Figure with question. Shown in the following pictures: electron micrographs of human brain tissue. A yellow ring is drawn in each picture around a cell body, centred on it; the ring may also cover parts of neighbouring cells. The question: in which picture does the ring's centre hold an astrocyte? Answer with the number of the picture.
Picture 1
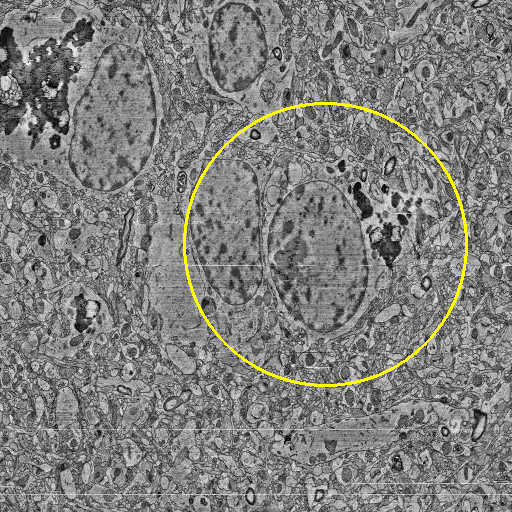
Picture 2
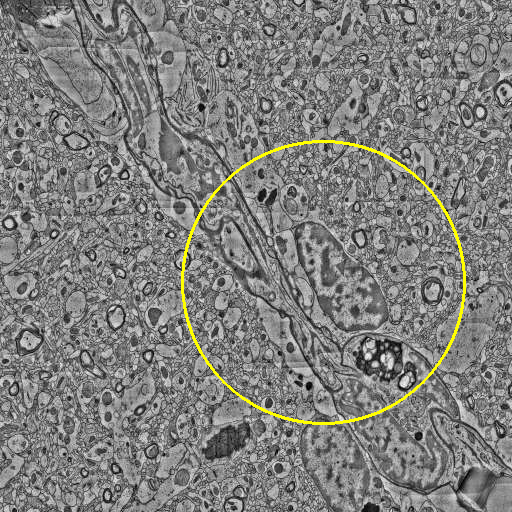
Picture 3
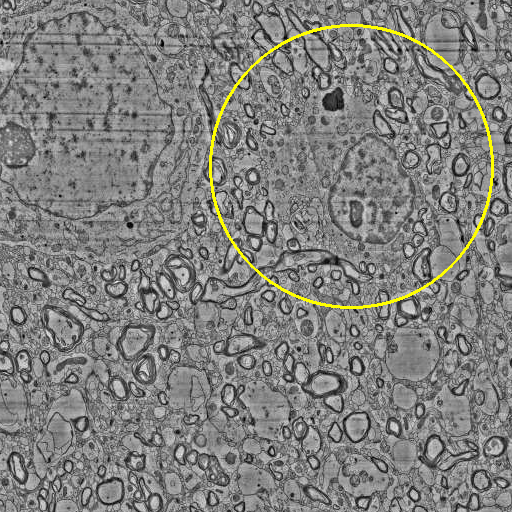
1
